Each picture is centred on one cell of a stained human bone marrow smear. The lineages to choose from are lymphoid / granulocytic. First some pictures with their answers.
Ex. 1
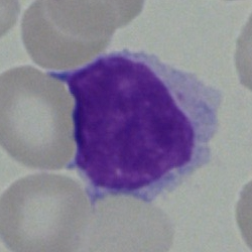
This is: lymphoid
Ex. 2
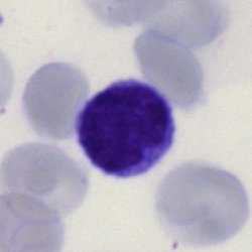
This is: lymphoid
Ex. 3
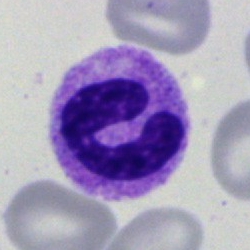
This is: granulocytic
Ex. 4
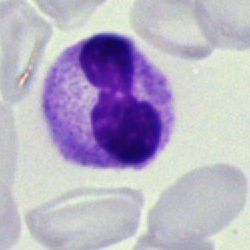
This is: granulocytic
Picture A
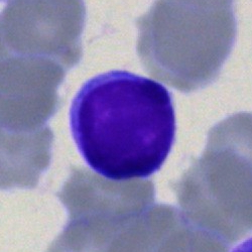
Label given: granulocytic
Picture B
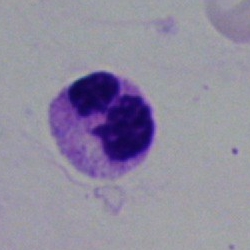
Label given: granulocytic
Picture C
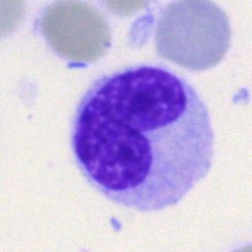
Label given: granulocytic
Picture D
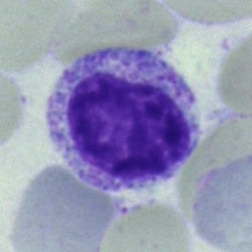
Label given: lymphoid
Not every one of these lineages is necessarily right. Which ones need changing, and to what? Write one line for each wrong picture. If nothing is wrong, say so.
Wrong: A (granulocytic); correct: lymphoid
Wrong: D (lymphoid); correct: granulocytic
